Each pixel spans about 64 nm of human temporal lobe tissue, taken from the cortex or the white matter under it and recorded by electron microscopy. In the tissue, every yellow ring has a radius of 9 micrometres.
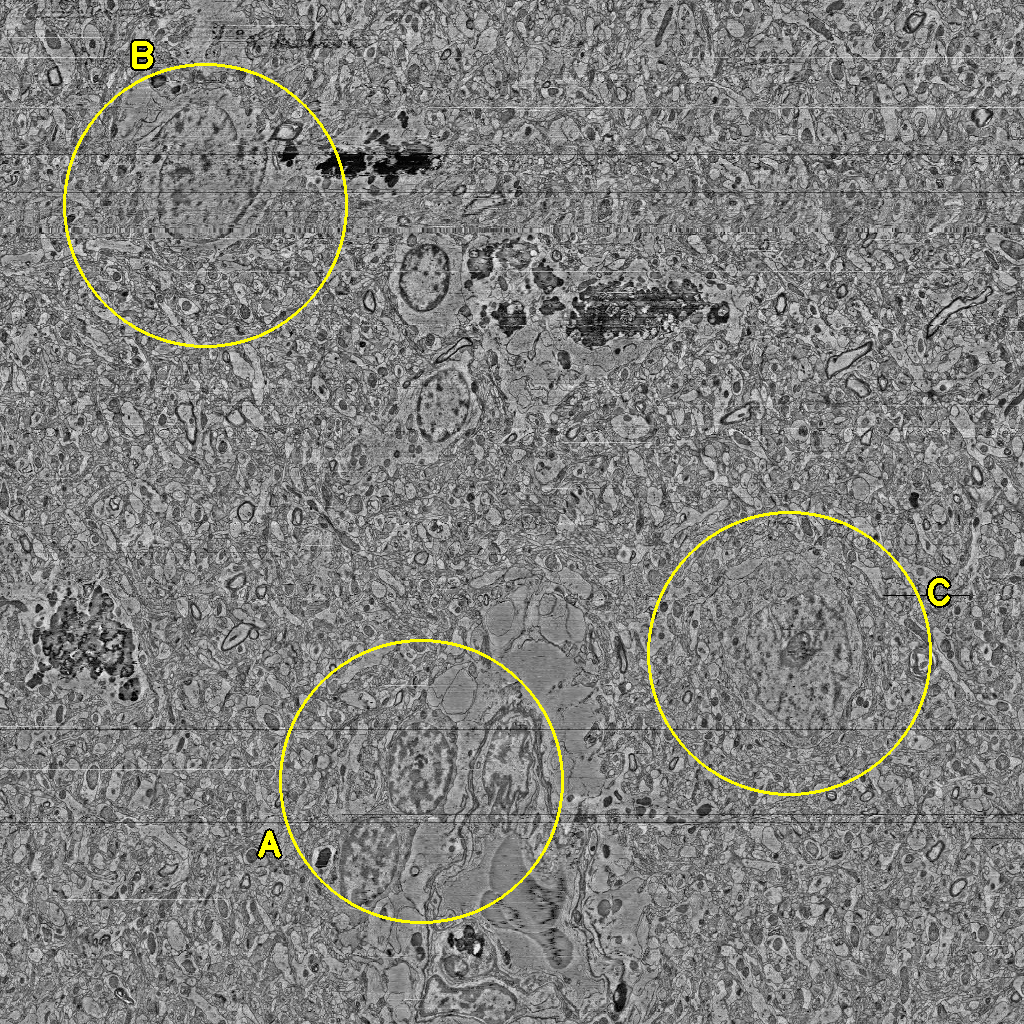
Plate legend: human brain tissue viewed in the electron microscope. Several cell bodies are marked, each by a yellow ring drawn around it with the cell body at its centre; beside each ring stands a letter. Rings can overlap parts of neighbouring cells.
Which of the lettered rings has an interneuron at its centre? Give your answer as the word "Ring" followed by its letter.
Ring C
